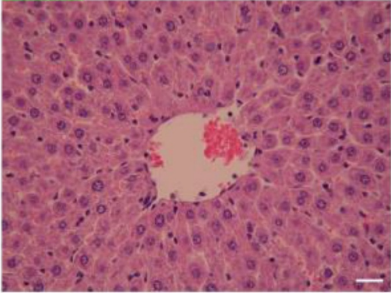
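This is liver around a terminal hepatic venule, the small central vessel holding some red blood cells. Hepatocytes fill the field: large polygonal cells with evenly pink cytoplasm and round, centrally placed nuclei with visible nucleoli, some cells carrying two nuclei. They line up in plates one or two cells thick that radiate outward from the vessel, separated by narrow sinusoids in which small, dark, flattened nuclei of lining cells can be seen. The arrangement is orderly and the cells look uniform, the picture of normal hepatocyte structure and arrangement.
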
